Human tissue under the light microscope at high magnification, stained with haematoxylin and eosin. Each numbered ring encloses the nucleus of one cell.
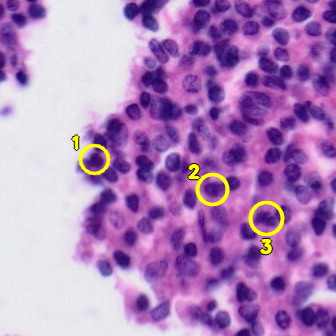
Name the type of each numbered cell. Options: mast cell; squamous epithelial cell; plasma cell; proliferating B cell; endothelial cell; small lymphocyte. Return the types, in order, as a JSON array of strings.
["small lymphocyte", "plasma cell", "plasma cell"]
